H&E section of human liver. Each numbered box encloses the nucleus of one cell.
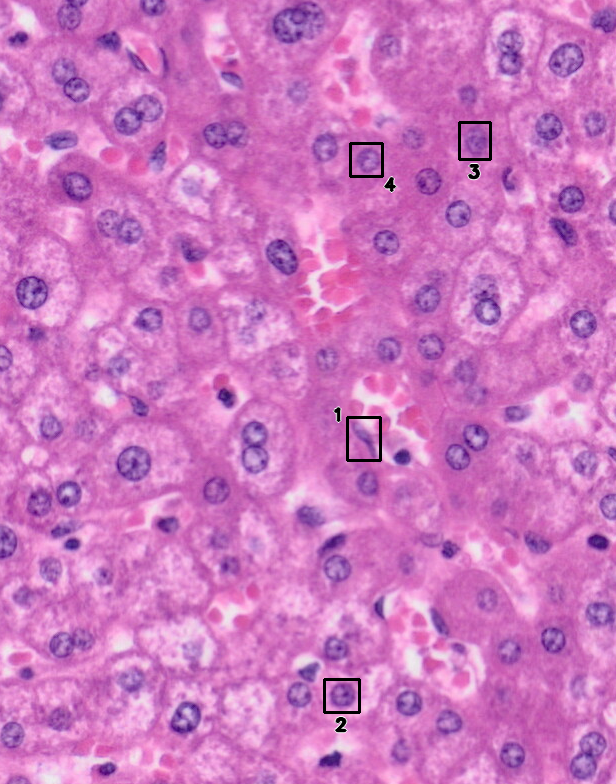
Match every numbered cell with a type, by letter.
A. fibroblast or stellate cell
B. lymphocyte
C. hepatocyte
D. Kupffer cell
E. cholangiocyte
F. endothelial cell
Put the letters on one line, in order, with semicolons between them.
A; C; C; C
